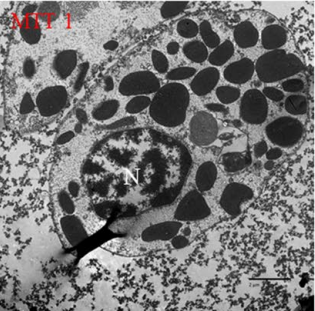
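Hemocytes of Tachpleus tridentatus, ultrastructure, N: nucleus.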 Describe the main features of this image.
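A few granules appear paler grey than the rest. Parts of neighbouring cells with similar dark granules are visible at the edges of the field.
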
